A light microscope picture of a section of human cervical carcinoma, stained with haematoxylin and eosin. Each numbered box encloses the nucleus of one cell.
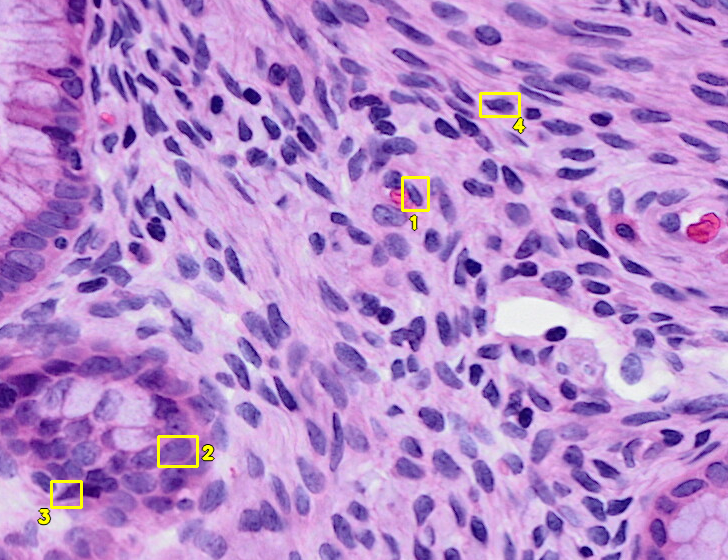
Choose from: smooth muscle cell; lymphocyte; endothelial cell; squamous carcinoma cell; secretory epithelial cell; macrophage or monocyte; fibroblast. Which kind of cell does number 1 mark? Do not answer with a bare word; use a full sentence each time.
The cell that bears the number 1 is an endothelial cell.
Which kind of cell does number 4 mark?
The marked cell with the number 4 is recognised as a fibroblast.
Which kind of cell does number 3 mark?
Number 3 is placed on a secretory epithelial cell here.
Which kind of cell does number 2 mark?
Corresponding to a secretory epithelial cell is the cell labelled 2.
